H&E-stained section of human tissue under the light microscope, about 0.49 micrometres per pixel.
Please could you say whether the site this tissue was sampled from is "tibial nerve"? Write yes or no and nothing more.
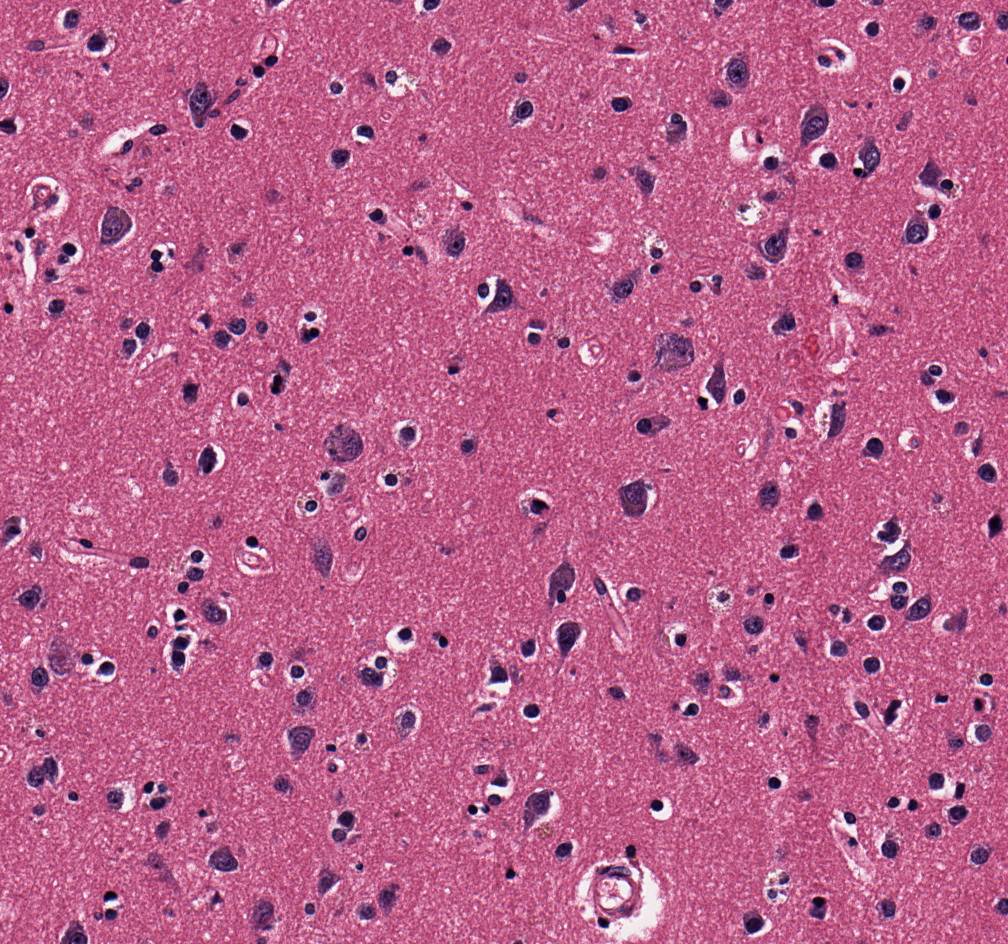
no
